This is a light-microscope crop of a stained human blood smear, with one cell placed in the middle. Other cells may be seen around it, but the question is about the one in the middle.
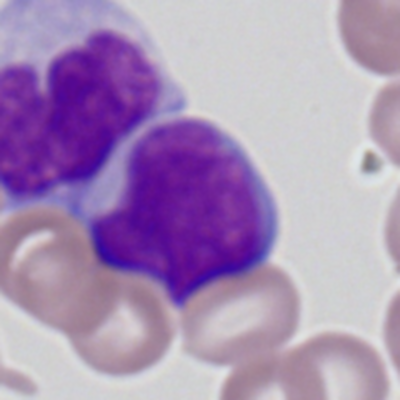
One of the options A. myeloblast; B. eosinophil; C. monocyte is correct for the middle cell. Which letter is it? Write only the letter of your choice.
A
